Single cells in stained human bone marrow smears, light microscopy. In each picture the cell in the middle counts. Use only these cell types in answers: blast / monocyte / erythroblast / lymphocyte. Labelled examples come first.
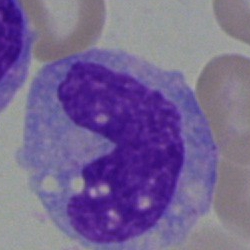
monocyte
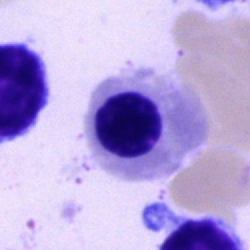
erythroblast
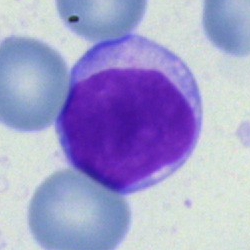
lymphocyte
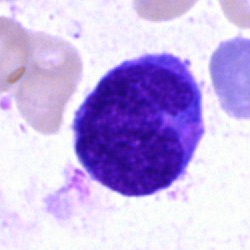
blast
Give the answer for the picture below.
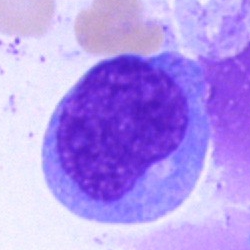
monocyte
